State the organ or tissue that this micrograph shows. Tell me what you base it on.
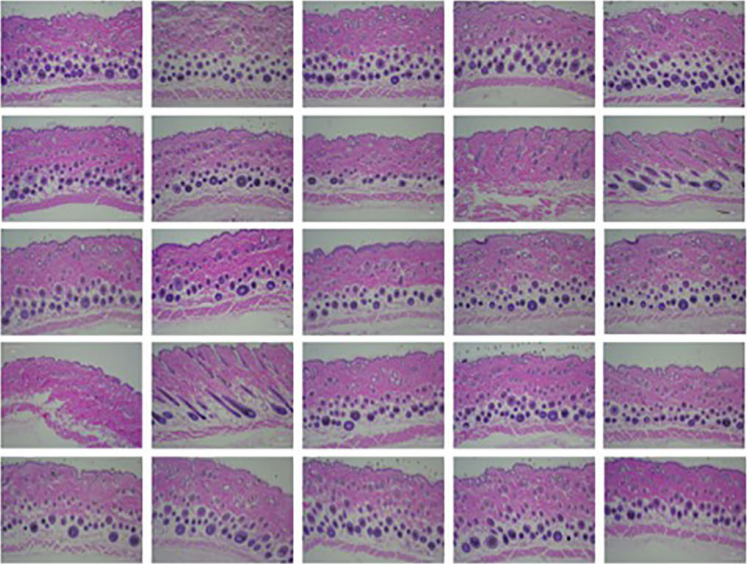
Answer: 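Skin. A pink-stained layered section with a thin surface layer on top. Rows of dark purple round profiles lie in a band below the surface. A paler loose layer and thin pink bands lie at the bottom of each section.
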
